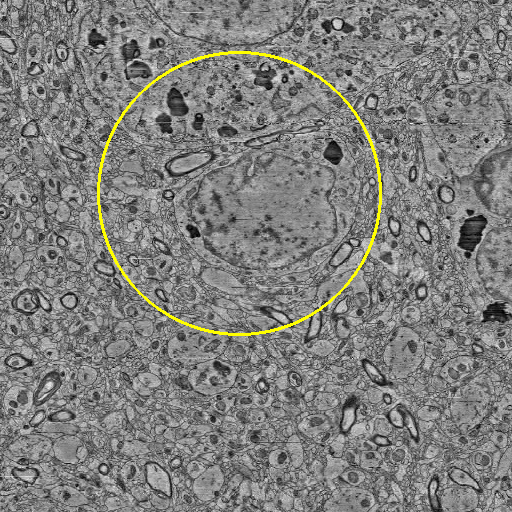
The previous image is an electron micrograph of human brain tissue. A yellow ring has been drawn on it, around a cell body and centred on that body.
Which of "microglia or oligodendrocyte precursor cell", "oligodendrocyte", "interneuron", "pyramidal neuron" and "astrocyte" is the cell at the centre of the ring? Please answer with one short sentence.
The cell body at the centre of the ring belongs to an interneuron.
